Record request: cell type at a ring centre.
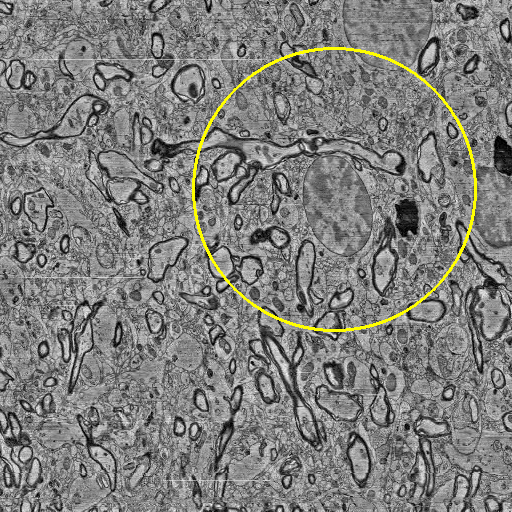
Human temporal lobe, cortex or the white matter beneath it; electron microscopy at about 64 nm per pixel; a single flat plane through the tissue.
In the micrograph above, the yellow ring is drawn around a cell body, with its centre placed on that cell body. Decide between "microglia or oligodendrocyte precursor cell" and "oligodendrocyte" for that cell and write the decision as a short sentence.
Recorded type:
The cell centred in the yellow ring is a microglial cell or oligodendrocyte precursor cell.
